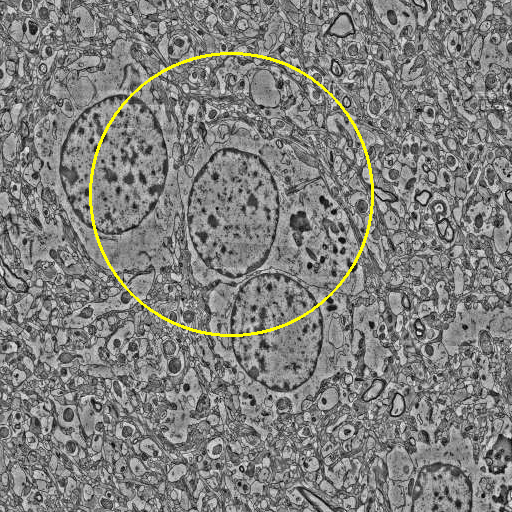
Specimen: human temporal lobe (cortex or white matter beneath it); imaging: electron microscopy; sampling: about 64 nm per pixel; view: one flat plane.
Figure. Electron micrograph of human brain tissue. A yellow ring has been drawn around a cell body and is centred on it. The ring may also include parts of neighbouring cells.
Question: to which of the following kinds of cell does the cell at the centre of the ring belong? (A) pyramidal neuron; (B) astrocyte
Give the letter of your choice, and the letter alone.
B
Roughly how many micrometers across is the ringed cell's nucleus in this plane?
In this plane, approximately 8 by 6 micrometers.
